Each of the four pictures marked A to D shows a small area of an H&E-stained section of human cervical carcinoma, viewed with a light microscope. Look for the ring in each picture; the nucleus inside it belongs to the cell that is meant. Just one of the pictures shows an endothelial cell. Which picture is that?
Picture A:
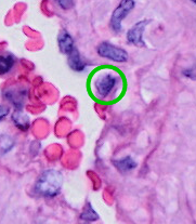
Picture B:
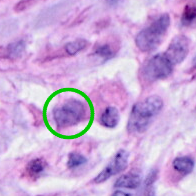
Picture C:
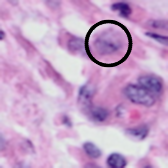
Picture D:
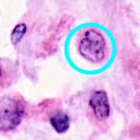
A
